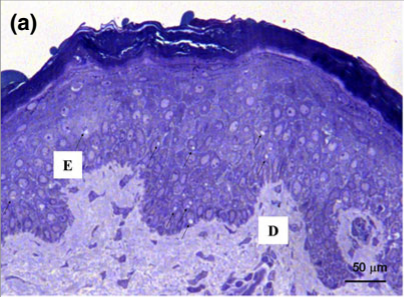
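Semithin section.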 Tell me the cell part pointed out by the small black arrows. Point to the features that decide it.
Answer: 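Small clear round spaces lie within cells of the layers above the basal row. Pale halos are scattered through the middle of the epidermis. On this evidence: vacuoles.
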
